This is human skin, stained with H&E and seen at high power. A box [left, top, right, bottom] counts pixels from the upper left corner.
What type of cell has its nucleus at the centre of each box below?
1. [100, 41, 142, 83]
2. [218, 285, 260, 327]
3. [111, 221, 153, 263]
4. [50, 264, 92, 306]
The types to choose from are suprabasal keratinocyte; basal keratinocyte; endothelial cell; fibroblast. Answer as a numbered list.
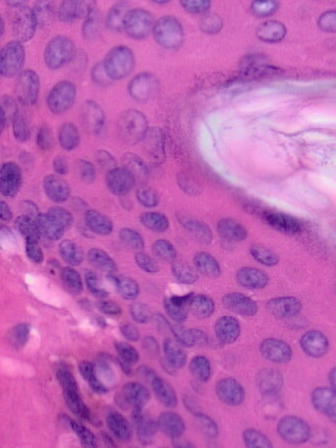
1. suprabasal keratinocyte
2. suprabasal keratinocyte
3. suprabasal keratinocyte
4. basal keratinocyte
